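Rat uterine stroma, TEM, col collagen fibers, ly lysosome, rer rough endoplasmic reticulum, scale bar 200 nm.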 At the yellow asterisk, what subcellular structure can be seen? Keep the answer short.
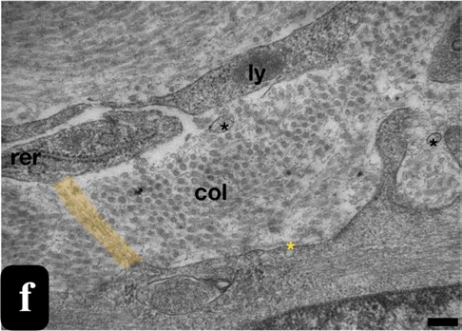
caveolae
